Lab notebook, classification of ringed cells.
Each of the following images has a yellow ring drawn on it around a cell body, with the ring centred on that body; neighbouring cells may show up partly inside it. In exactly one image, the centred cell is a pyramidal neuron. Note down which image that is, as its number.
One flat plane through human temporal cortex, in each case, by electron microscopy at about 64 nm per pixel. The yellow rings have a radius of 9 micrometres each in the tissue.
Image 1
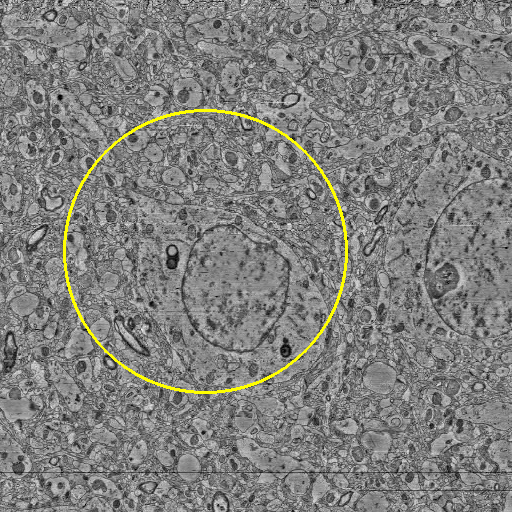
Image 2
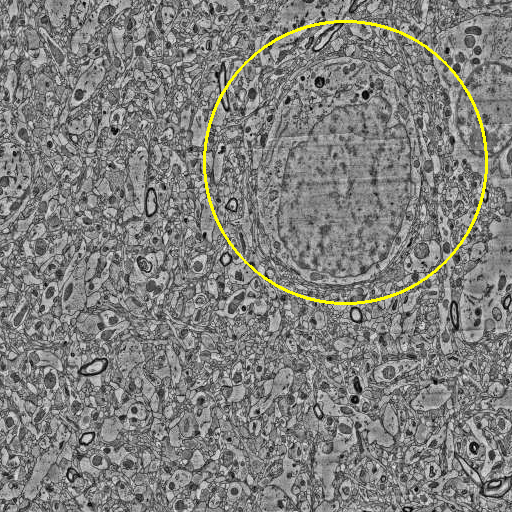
1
